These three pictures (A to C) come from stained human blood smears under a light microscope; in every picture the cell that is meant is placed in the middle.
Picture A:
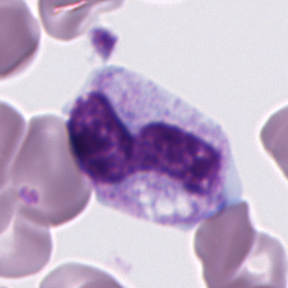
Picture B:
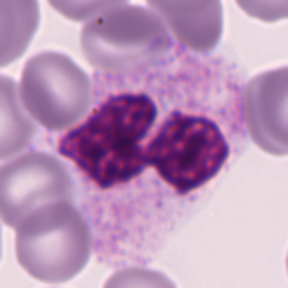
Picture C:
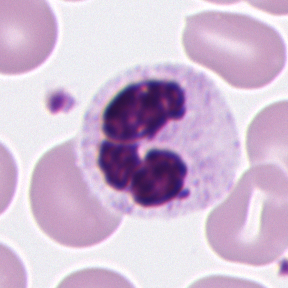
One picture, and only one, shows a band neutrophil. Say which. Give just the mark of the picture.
A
